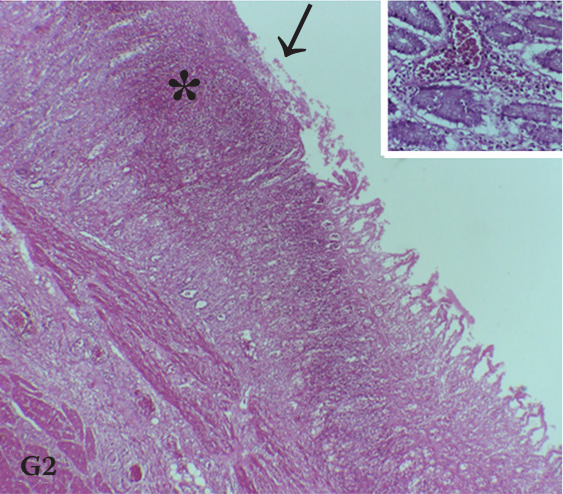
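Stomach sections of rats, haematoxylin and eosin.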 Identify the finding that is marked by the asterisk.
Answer: Cell necrosis.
